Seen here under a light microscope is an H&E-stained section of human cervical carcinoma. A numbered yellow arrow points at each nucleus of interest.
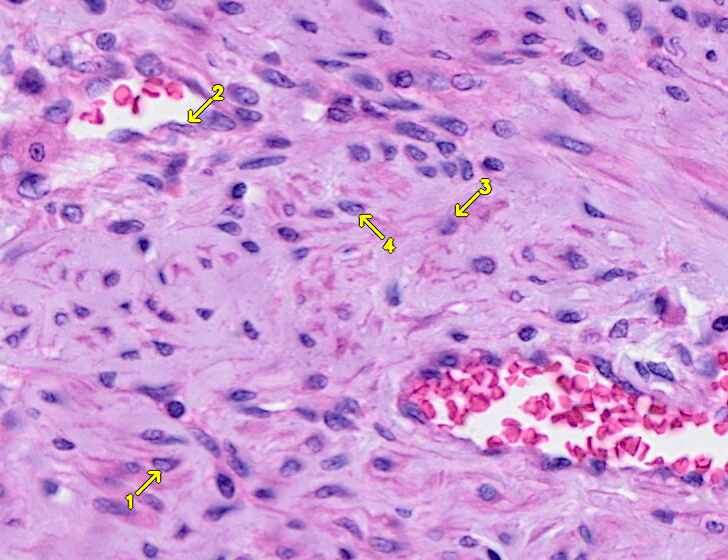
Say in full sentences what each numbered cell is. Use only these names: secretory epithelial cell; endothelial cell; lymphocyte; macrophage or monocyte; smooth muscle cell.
Cell 1 is a smooth muscle cell, cell 2 is an endothelial cell, cell 3 is a smooth muscle cell and cell 4 is a smooth muscle cell.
